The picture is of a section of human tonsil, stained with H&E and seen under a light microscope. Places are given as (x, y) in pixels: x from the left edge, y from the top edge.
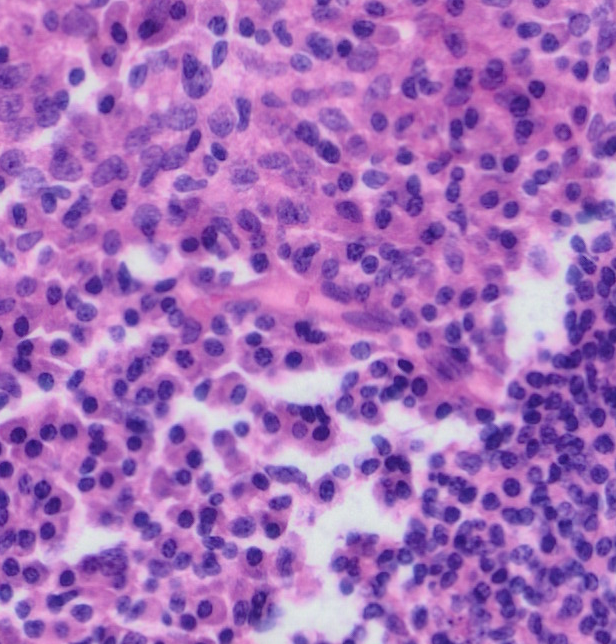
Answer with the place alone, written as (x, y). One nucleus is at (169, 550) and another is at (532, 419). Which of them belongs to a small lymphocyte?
(532, 419)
